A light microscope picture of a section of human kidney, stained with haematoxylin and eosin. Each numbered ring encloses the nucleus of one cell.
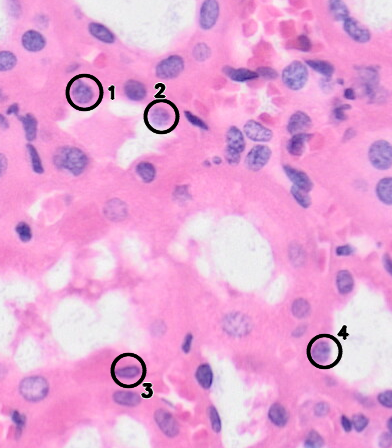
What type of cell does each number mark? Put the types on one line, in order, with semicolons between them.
loop of Henle or distal tubule cell; loop of Henle or distal tubule cell; proximal tubule cell; loop of Henle or distal tubule cell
